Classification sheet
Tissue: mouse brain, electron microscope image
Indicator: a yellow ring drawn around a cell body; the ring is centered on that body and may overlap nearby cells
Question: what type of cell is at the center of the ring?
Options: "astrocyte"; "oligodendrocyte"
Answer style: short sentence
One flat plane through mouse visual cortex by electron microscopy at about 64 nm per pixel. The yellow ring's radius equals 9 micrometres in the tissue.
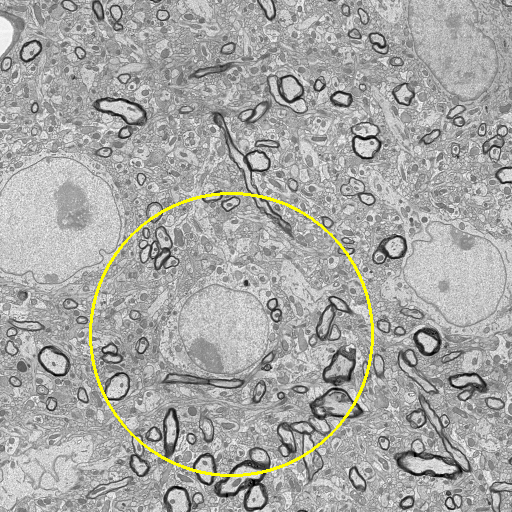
At the ring's center is an astrocyte.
